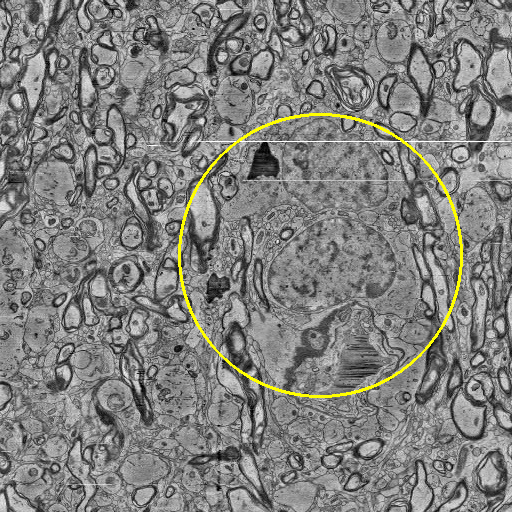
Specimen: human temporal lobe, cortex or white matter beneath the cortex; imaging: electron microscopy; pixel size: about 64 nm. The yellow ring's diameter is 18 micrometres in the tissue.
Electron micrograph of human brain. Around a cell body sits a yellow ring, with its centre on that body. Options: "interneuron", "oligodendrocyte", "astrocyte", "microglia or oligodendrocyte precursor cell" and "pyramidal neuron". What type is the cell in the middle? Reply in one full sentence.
The cell sitting at the centre of the yellow ring is a microglial cell or oligodendrocyte precursor cell.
